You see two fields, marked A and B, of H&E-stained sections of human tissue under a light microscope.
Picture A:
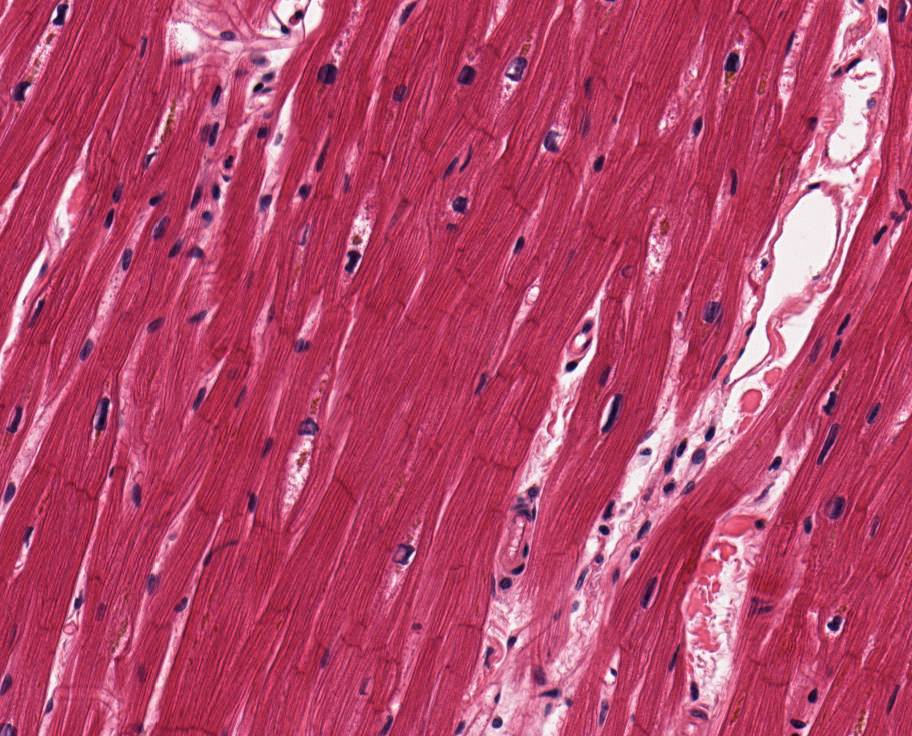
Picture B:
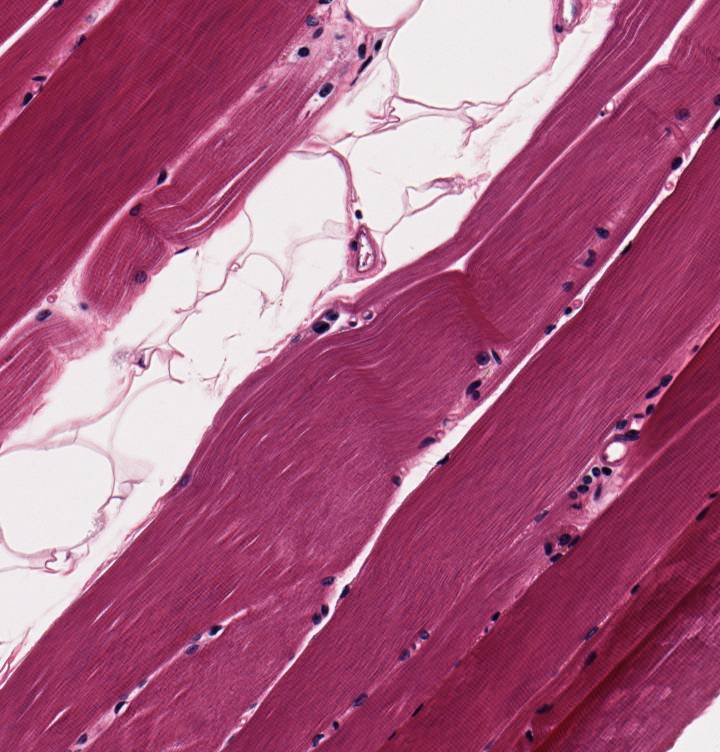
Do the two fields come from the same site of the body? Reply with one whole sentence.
No, picture A comes from the left ventricle of the heart and picture B comes from skeletal muscle.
